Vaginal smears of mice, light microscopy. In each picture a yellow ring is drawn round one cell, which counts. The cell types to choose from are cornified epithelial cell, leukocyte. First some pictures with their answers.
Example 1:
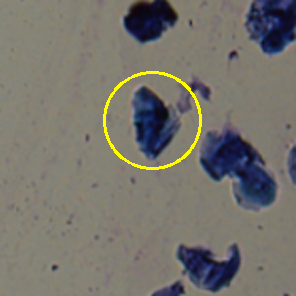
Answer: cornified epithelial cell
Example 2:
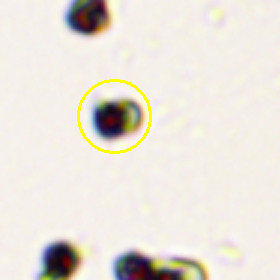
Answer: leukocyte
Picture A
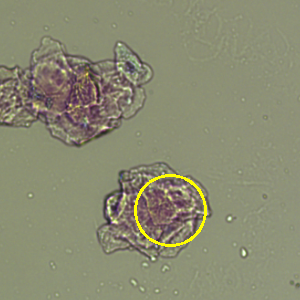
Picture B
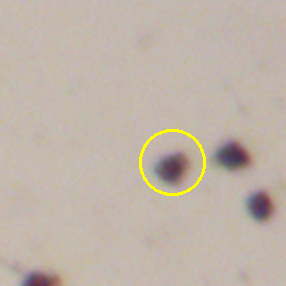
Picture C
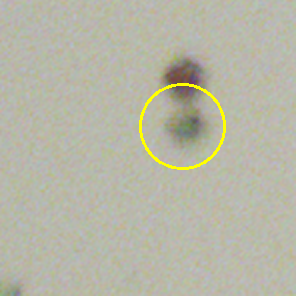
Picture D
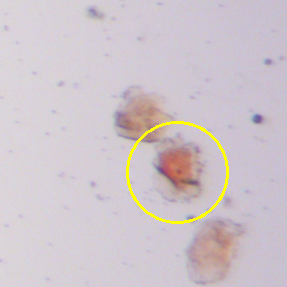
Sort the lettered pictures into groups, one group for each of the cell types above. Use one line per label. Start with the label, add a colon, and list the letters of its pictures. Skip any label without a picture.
cornified epithelial cell: A, D
leukocyte: B, C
